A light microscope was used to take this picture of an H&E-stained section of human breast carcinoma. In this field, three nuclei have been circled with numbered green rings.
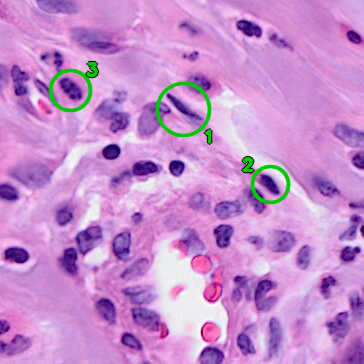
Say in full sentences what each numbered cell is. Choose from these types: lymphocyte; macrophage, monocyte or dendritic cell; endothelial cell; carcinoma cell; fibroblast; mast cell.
Cell 1 is a fibroblast, cell 2 is a lymphocyte and cell 3 is a mast cell.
